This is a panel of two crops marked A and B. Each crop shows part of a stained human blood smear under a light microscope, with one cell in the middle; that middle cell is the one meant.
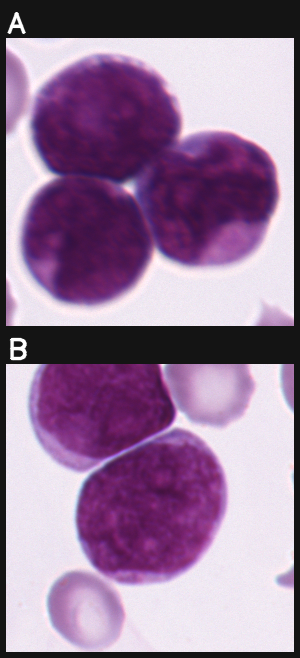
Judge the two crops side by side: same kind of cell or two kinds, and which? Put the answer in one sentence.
Yes, it is blasts that occupy the middle of both crops.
